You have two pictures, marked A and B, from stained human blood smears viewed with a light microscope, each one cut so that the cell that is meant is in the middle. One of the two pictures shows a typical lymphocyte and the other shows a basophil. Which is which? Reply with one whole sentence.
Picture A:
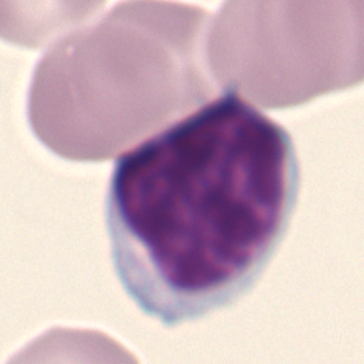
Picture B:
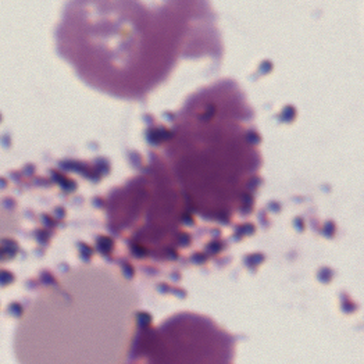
Picture B shows a basophil, while picture A shows a typical lymphocyte.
